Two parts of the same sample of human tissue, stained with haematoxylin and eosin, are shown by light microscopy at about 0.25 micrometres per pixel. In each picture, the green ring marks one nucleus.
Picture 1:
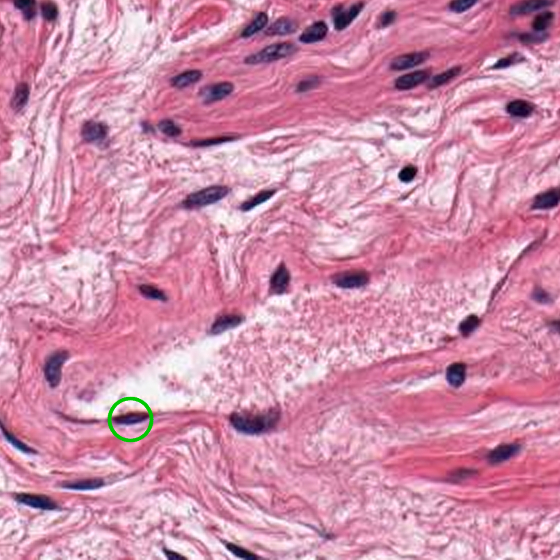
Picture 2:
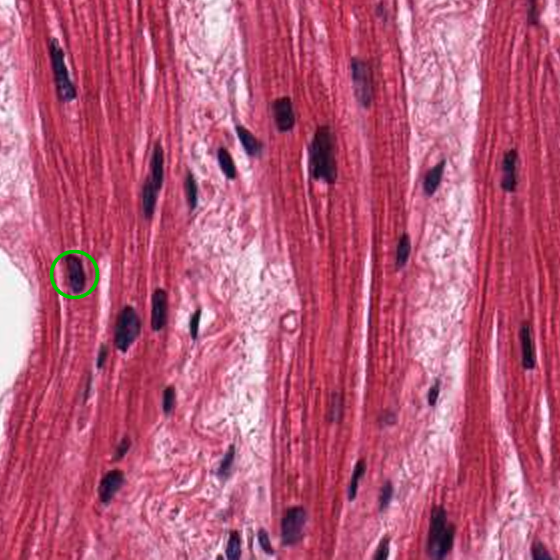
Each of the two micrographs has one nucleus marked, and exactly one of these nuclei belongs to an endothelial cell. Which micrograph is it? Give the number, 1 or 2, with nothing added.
1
